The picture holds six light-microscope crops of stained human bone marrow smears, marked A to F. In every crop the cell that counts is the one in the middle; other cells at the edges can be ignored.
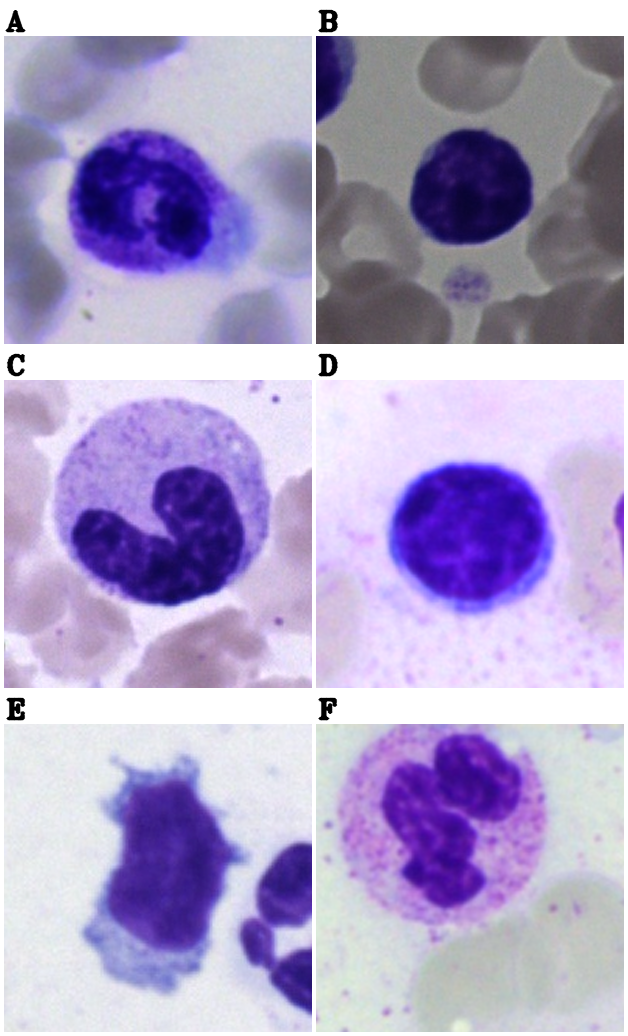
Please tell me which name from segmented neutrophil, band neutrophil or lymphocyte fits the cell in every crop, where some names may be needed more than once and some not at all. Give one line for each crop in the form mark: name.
A: segmented neutrophil
B: lymphocyte
C: band neutrophil
D: lymphocyte
E: lymphocyte
F: segmented neutrophil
